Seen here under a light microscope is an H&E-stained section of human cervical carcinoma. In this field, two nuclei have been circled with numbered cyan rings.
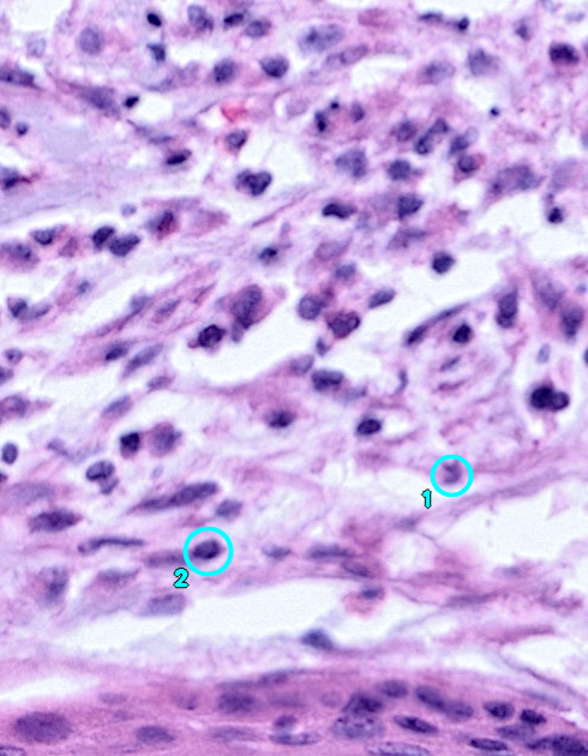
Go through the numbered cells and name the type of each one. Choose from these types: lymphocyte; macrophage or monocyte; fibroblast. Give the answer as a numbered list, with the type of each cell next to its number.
1. macrophage or monocyte
2. lymphocyte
